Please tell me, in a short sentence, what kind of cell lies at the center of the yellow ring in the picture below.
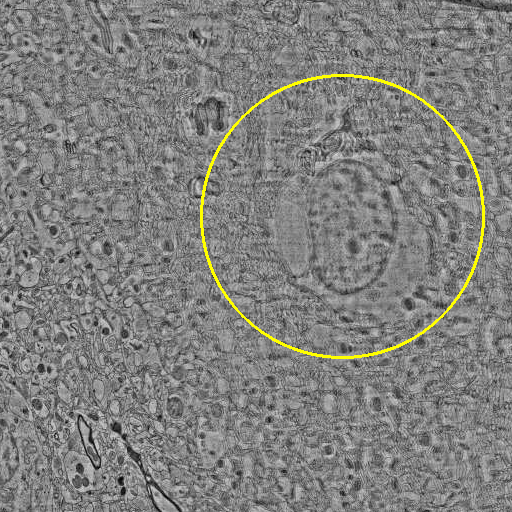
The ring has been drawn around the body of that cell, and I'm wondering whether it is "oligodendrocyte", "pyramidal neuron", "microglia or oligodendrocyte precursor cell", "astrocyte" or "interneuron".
The cell at the center of the ring is an astrocyte.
